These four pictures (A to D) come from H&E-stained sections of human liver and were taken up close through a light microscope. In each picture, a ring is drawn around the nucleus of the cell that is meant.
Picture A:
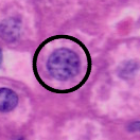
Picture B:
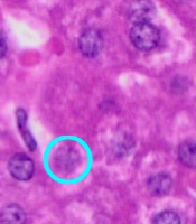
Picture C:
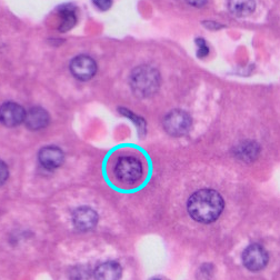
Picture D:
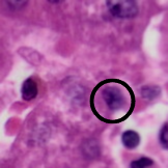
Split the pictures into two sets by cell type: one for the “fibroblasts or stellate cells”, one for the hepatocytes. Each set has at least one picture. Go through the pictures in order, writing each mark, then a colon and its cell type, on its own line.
A: hepatocyte
B: hepatocyte
C: hepatocyte
D: fibroblast or stellate cell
